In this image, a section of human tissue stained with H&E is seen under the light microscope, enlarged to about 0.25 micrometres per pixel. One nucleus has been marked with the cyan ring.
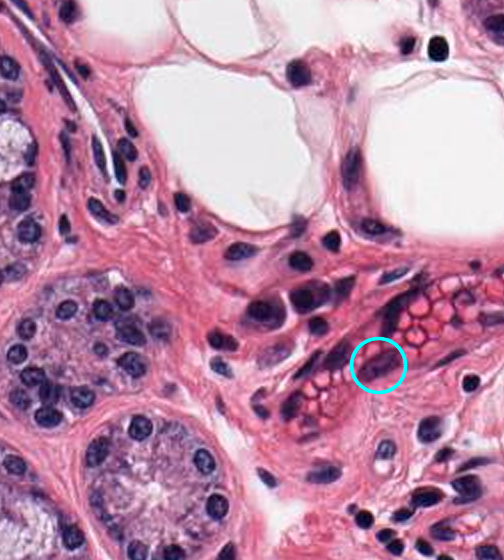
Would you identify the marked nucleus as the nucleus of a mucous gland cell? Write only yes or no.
no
